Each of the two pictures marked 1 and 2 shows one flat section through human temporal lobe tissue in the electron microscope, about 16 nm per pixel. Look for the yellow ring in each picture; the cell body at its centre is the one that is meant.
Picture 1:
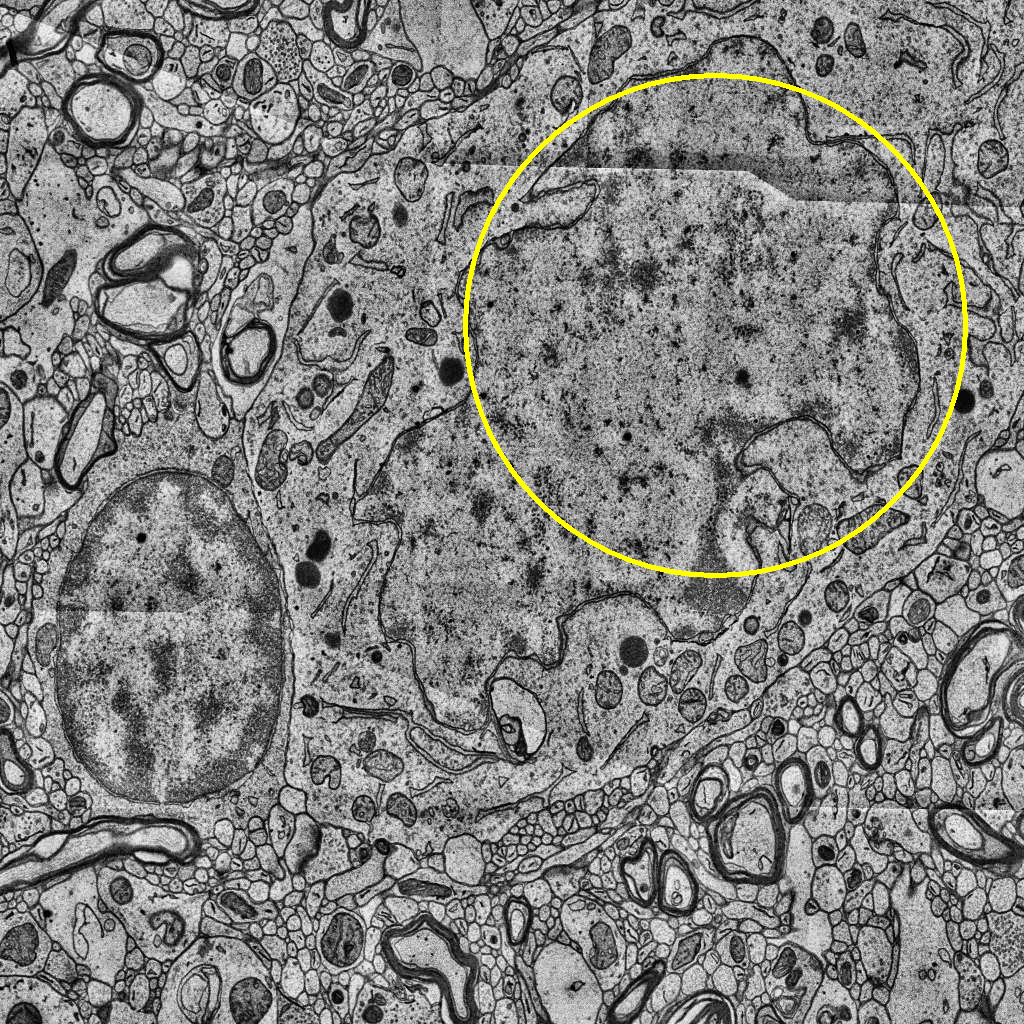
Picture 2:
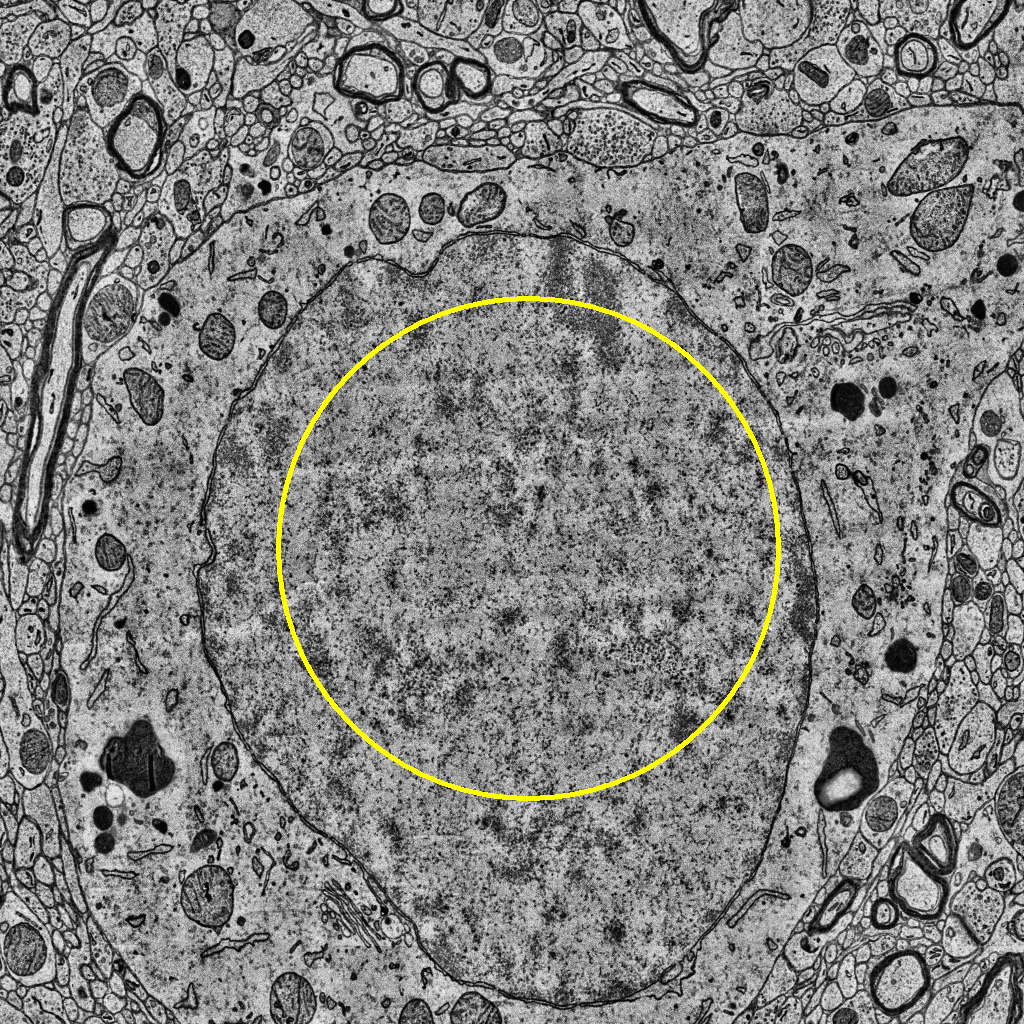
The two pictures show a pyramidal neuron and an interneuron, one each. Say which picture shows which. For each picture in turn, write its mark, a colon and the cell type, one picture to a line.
1: interneuron
2: pyramidal neuron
